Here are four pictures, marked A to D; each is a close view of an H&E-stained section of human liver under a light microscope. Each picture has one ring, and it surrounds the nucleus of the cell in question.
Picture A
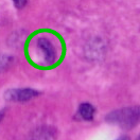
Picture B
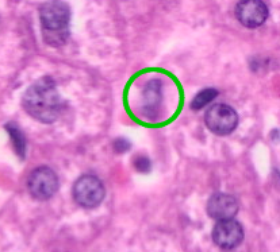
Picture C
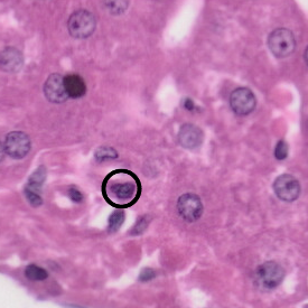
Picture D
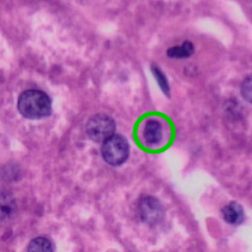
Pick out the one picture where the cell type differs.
B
